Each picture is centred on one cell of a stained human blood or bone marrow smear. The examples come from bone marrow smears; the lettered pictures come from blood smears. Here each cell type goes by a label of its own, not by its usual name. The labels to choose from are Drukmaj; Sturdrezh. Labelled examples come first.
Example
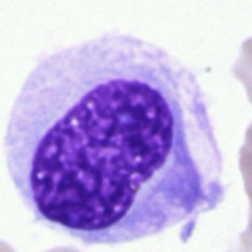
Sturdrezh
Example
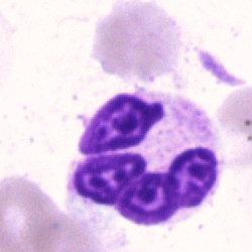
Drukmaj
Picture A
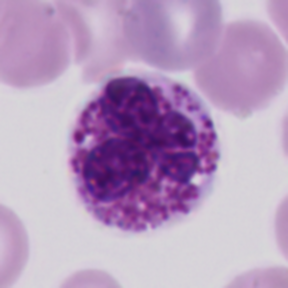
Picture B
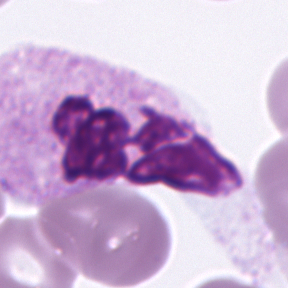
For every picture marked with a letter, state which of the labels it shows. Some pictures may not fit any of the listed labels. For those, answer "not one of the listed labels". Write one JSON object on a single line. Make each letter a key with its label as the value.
{"A": "not one of the listed labels", "B": "Drukmaj"}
